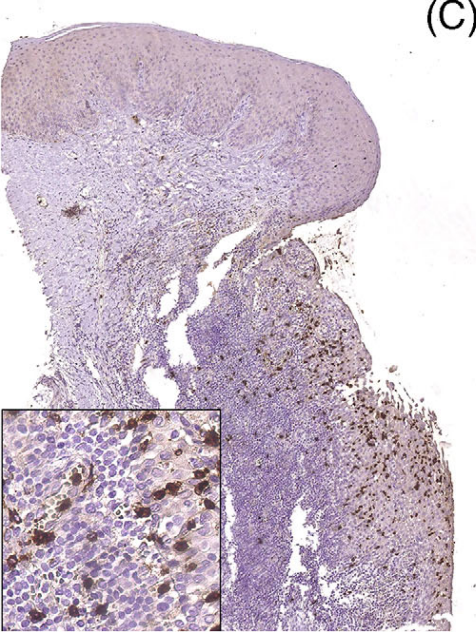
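The surface is covered by a stratified squamous epithelium with short ridges; below lies a loose, pale connective tissue. To one side, a large area is densely packed with small round cells with purple nuclei, and numerous dark brown cells are strewn through it, more crowded toward its outer edge. In the enlarged detail, individual brown cells lie singly among many unstained round cells with purple nuclei.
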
